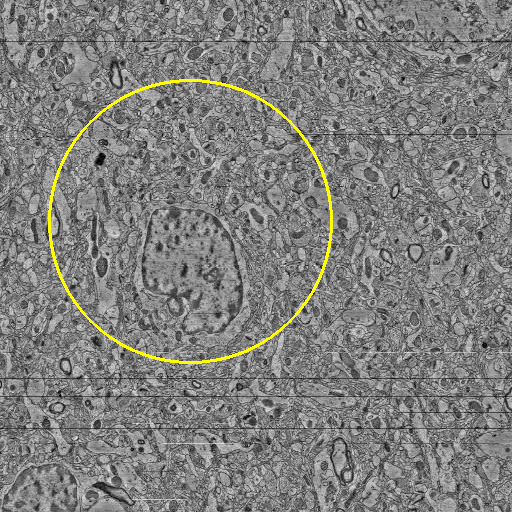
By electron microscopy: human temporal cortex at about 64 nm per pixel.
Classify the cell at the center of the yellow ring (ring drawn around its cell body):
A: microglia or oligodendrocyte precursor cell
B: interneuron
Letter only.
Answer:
A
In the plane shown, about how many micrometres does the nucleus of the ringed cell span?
About 9 micrometres by about 6 micrometres in this plane.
